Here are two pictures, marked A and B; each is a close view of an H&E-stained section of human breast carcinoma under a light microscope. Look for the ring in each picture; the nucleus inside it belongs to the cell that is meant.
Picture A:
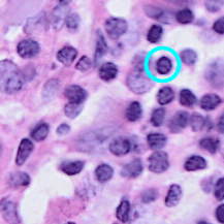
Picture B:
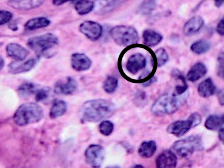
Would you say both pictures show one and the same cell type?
yes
